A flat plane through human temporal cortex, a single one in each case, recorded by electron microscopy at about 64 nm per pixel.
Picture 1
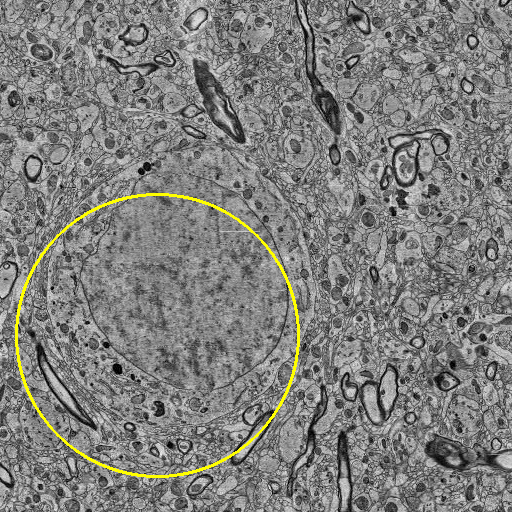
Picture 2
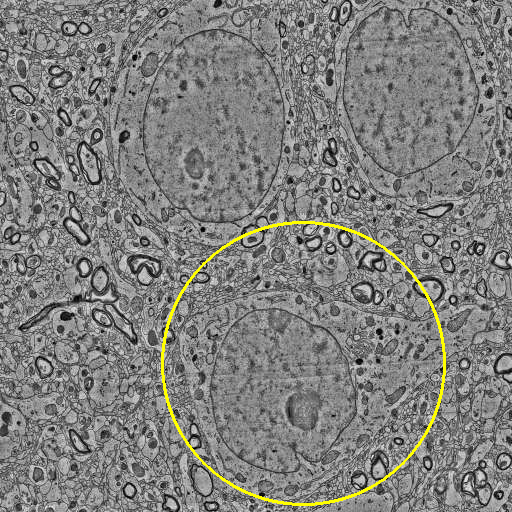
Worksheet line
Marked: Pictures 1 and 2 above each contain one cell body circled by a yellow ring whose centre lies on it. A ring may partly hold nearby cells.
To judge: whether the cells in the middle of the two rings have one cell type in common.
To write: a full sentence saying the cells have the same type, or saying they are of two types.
The cells in the middle of the rings in Picture 1 and Picture 2 have the same type.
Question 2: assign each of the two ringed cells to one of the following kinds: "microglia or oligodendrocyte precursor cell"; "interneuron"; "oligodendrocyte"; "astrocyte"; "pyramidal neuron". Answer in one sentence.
In each picture the ringed cell is a pyramidal neuron.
